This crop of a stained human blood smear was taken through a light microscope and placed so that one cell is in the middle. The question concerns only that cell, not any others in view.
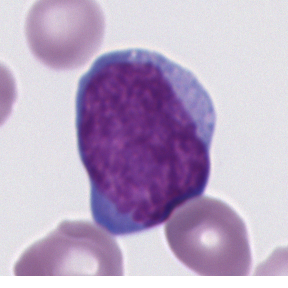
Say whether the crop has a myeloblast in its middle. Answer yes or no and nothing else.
yes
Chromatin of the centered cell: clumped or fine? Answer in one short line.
The chromatin shows a fine pattern without coarse clumps.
